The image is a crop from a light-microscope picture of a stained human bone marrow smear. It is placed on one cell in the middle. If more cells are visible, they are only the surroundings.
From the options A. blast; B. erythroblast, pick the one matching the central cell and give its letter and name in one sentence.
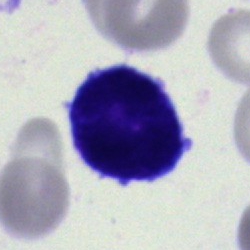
According to option A, which is correct, the cell in the middle is a blast.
